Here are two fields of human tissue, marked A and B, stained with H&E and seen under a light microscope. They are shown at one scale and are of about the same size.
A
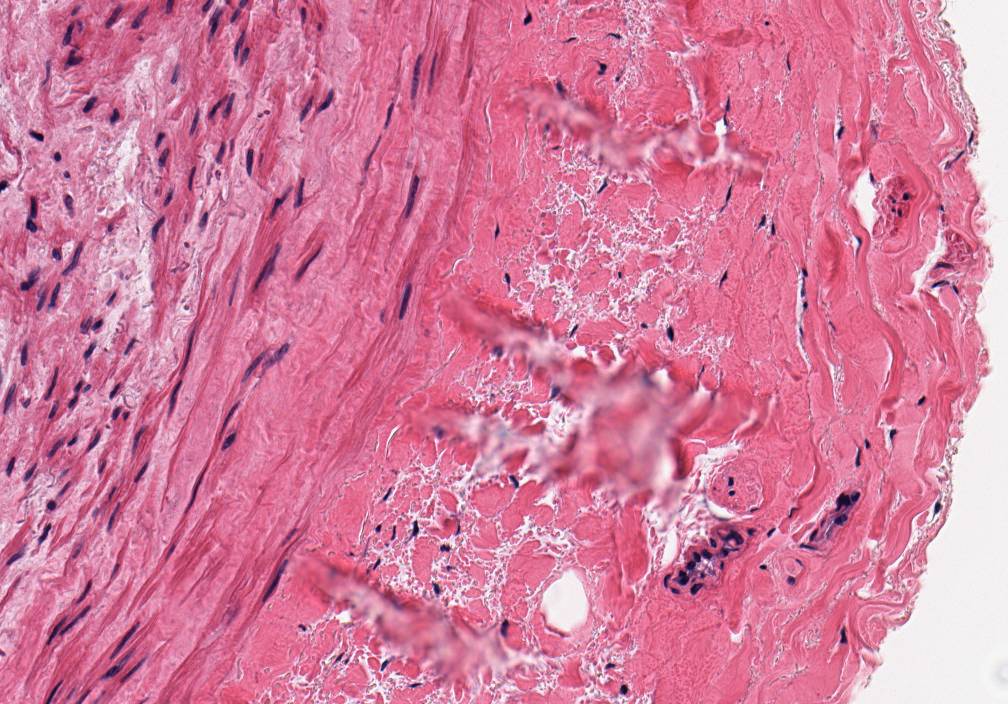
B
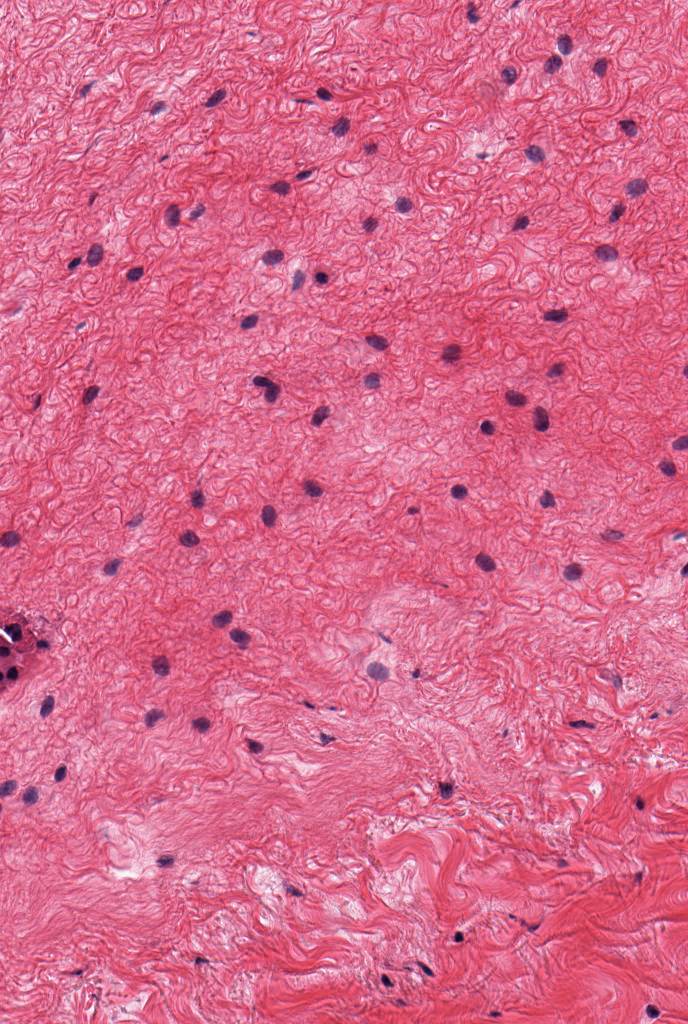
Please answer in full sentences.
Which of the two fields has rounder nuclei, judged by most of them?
It is field B whose nuclei are the rounder.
